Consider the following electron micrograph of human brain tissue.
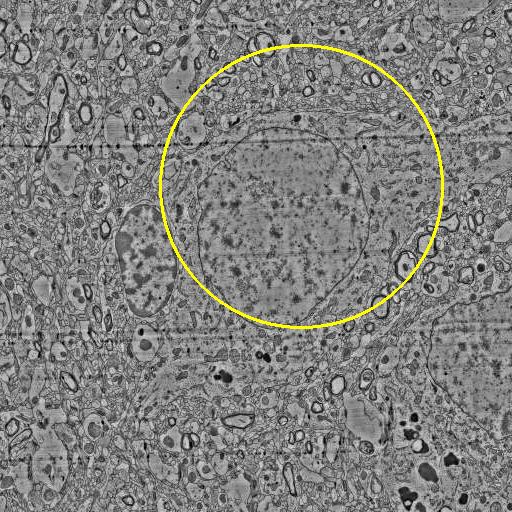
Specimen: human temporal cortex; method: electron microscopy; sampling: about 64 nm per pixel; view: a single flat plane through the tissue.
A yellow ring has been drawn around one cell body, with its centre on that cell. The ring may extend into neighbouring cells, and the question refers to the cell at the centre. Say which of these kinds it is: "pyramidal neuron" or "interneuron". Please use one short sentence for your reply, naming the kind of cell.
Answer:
The centre of the ring falls on a pyramidal neuron.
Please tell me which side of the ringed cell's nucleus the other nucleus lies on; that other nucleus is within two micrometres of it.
The other one lies to the left of it.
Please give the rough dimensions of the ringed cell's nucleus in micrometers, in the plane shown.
In this plane the nucleus spans approximately 13 by 11 micrometers.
